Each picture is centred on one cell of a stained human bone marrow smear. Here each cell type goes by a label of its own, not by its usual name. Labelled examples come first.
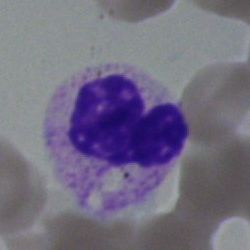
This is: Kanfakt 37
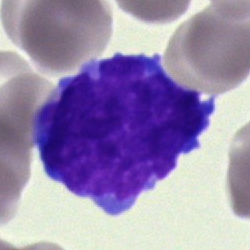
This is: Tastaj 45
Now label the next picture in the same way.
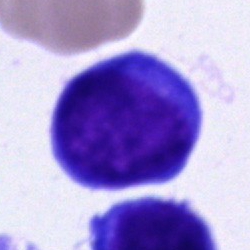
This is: Tastaj 45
